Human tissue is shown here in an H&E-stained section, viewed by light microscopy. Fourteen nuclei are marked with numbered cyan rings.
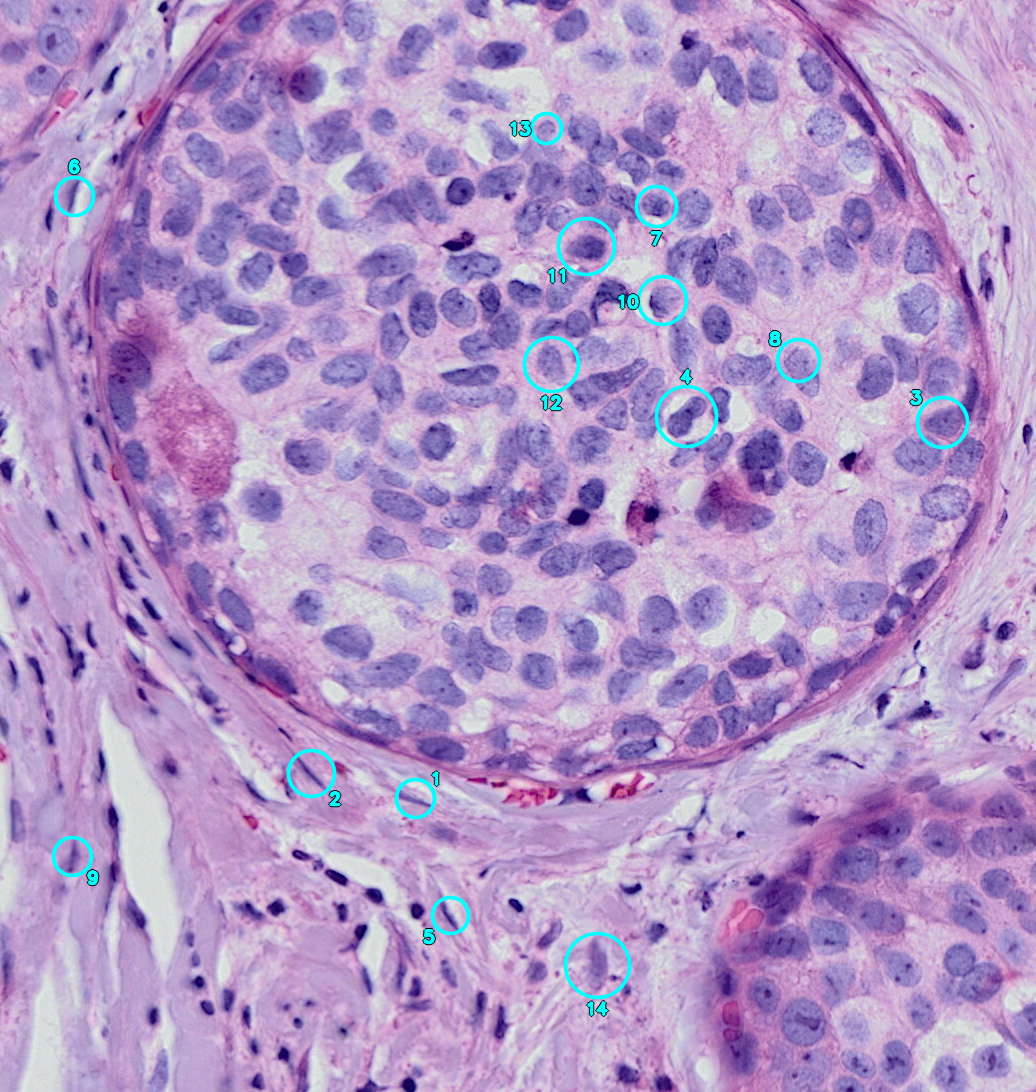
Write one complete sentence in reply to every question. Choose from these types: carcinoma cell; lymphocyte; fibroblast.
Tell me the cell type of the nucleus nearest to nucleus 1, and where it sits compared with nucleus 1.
The closest nucleus belongs to a fibroblast and sits below and to the right of nucleus 1.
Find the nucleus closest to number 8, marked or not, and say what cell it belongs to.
The cell nearest to number 8 is a carcinoma cell.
